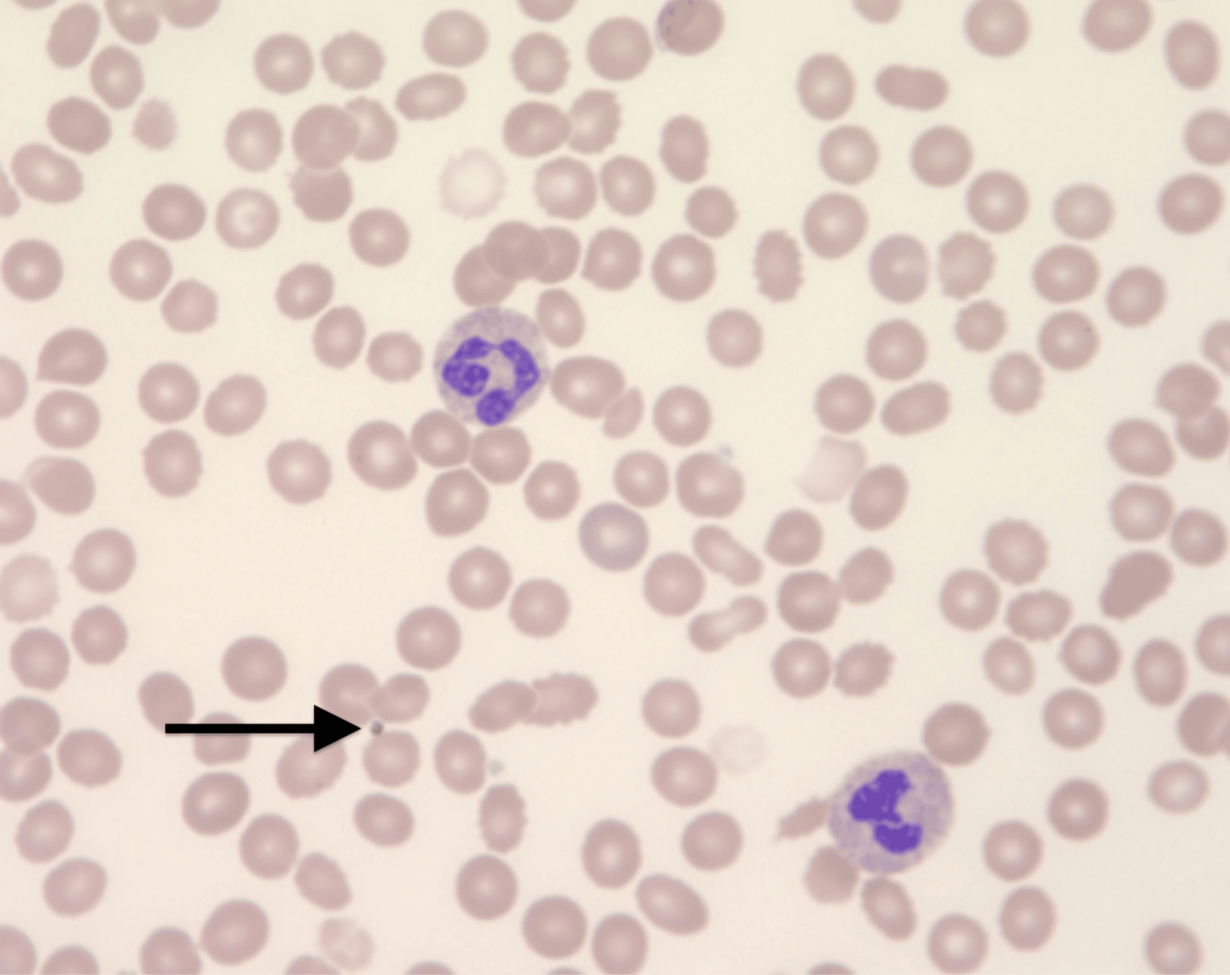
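This peripheral blood smear is made up mostly of red blood cells, which are round, pink, and mostly similar in size, many with a paler centre. A few red cells have crenated, spiky edges.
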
